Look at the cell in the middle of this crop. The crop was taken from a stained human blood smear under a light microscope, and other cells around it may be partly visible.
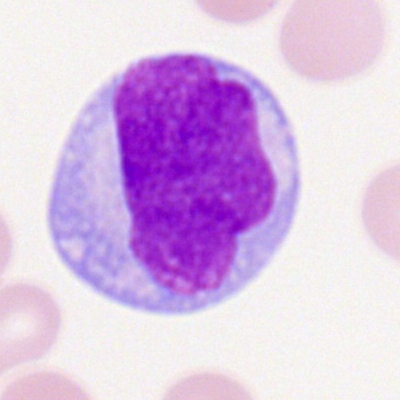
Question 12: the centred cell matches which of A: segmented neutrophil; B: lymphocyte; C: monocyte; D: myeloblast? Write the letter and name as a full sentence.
Option C is correct in naming the middle cell a monocyte.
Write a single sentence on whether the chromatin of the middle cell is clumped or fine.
The chromatin is fine throughout, without coarse clumps.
